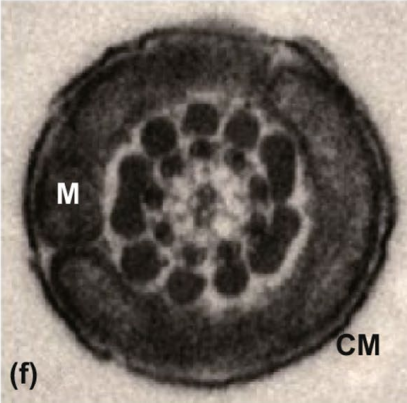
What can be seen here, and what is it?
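This cross-section through the sperm midpiece shows a round profile. At the centre lies the axoneme, encircled by a ring of large dark dense outer fibres. Outside the fibres a ring of mitochondria forms the mitochondrial sheath. A thin cell membrane bounds the whole section and its surface looks smooth, without attached dense particles.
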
